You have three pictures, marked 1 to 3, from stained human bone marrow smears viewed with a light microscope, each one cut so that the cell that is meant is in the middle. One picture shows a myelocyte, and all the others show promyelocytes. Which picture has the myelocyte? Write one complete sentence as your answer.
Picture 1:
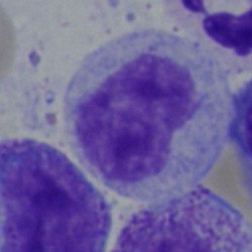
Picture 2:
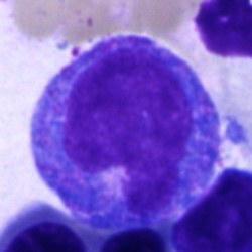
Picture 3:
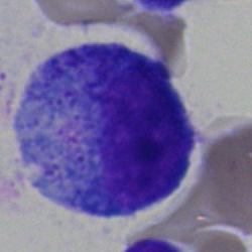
Picture 1 is the one that shows the myelocyte.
